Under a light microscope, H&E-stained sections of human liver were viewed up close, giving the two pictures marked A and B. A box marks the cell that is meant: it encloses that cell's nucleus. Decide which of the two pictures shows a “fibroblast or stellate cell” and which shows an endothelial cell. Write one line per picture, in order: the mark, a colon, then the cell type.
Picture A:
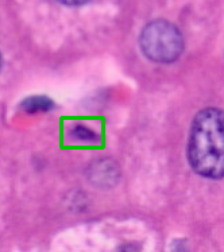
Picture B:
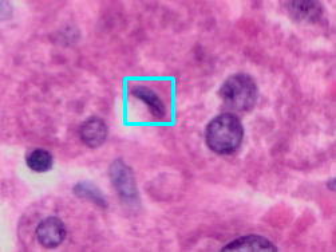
A: fibroblast or stellate cell
B: endothelial cell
